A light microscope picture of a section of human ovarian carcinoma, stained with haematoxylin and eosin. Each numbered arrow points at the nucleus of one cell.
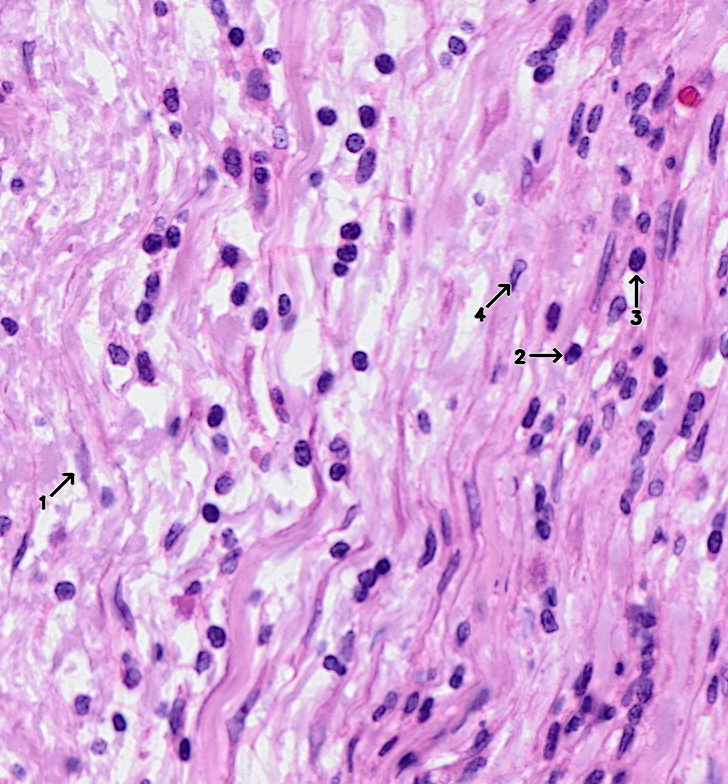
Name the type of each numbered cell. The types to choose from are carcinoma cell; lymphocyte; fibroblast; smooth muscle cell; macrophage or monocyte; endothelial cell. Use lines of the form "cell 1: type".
cell 1: fibroblast
cell 2: lymphocyte
cell 3: lymphocyte
cell 4: macrophage or monocyte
